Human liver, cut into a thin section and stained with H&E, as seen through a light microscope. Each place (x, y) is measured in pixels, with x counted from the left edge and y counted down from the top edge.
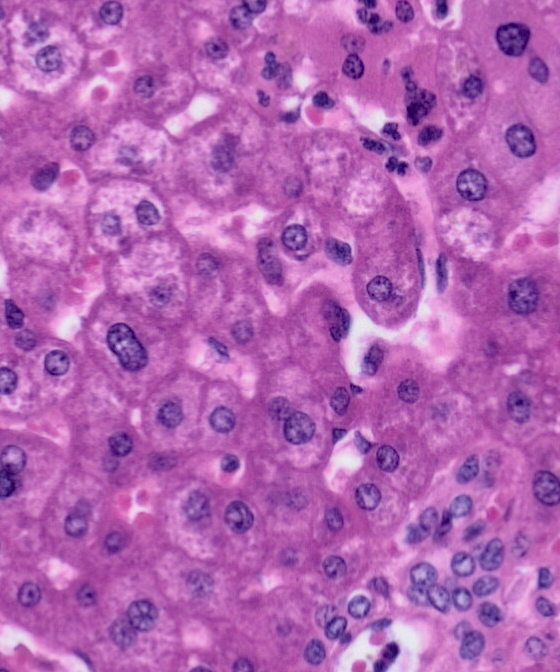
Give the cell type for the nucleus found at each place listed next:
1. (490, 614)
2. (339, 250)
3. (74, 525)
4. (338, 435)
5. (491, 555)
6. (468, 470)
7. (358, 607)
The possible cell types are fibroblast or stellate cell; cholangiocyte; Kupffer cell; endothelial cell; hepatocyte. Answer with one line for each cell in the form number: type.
1: cholangiocyte
2: endothelial cell
3: hepatocyte
4: fibroblast or stellate cell
5: cholangiocyte
6: cholangiocyte
7: cholangiocyte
